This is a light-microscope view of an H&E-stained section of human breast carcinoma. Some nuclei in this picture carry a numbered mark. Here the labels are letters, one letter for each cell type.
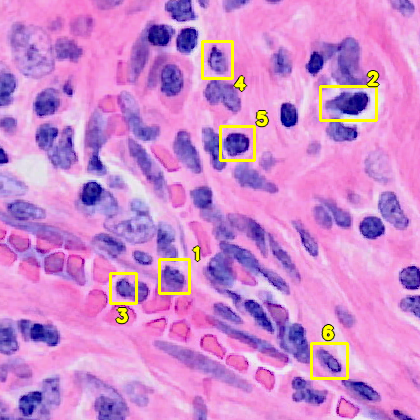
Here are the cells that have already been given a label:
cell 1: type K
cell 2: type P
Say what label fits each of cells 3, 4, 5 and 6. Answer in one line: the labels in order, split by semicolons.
type K; type P; type P; type K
